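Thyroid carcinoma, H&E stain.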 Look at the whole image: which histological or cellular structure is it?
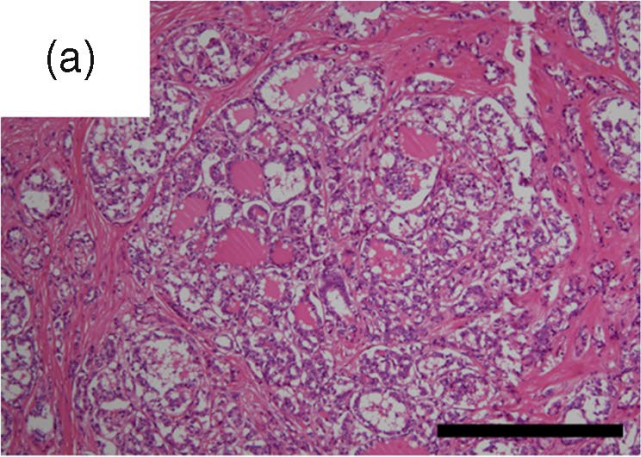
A: Follicular structure.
